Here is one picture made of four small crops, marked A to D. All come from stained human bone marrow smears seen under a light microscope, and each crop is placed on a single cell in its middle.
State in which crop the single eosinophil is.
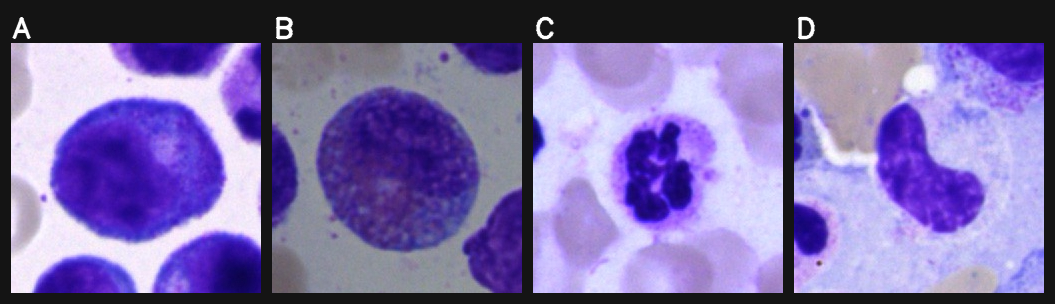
B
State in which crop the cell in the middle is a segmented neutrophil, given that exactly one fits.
C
